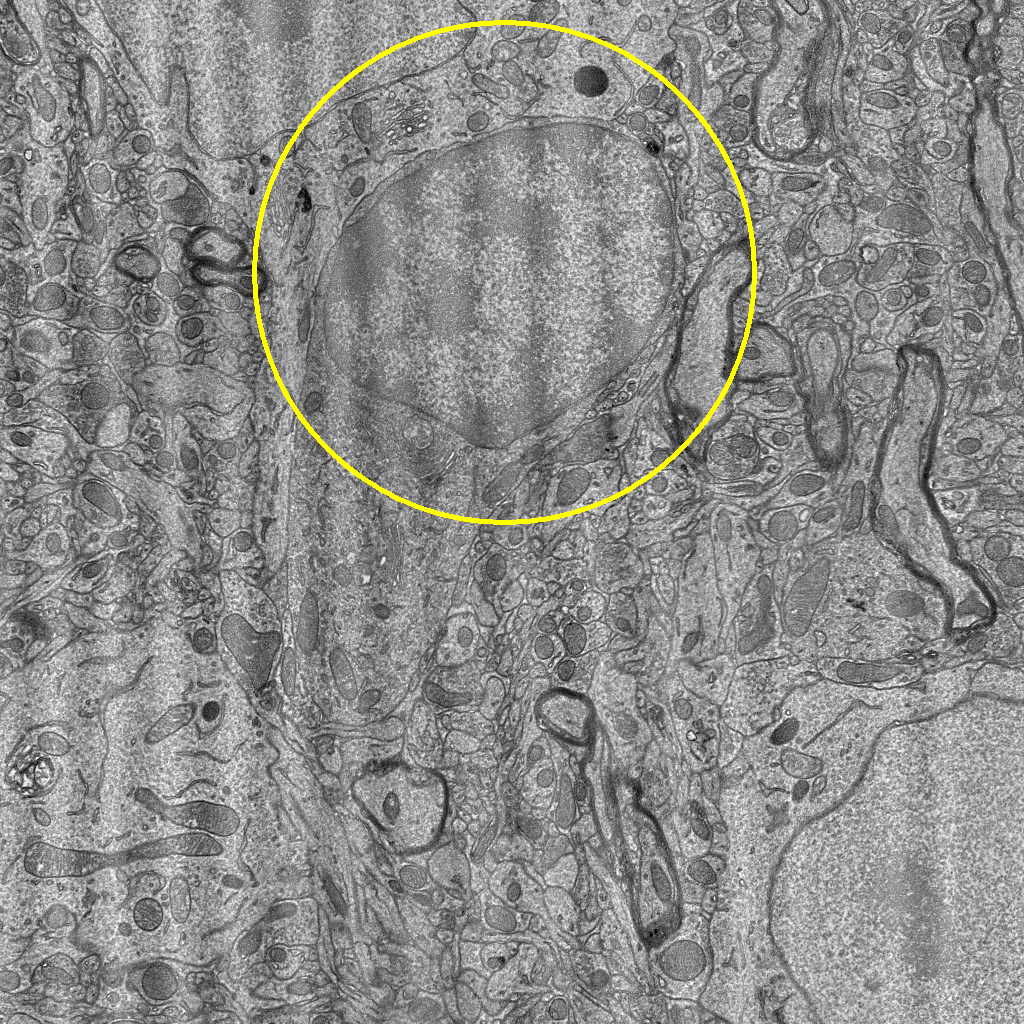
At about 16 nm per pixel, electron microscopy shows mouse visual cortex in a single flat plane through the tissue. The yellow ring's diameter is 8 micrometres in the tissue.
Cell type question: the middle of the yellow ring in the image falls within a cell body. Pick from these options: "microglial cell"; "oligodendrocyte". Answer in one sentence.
The cell body at the center of the ring belongs to an oligodendrocyte.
